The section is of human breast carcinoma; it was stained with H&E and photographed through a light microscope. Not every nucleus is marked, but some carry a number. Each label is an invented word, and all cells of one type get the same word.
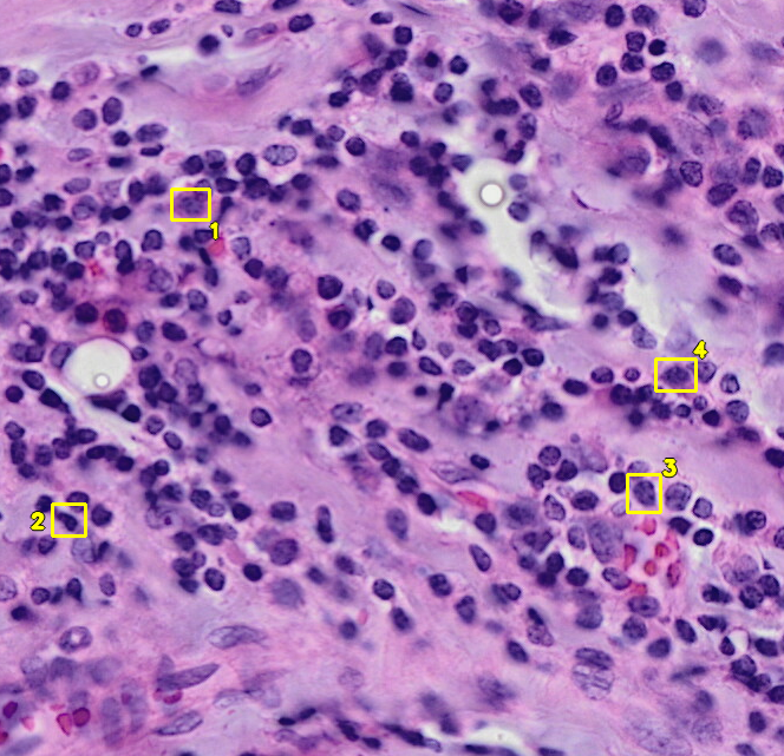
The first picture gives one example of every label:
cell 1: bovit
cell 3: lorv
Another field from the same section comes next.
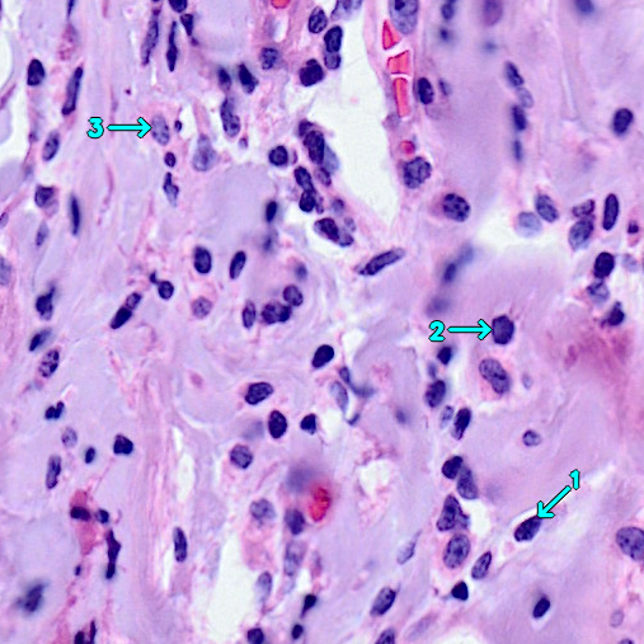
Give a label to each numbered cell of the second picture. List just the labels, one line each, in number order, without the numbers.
lorv
lorv
bovit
